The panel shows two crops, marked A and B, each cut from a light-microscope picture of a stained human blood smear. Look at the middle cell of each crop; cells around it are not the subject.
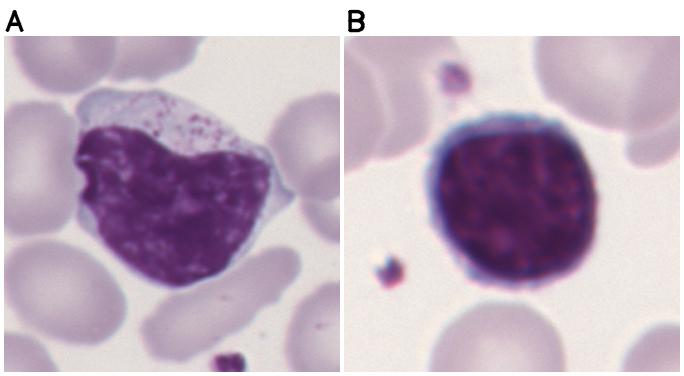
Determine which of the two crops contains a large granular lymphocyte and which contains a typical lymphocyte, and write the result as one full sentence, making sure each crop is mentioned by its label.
In this set, crop A shows a large granular lymphocyte and crop B shows a typical lymphocyte.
